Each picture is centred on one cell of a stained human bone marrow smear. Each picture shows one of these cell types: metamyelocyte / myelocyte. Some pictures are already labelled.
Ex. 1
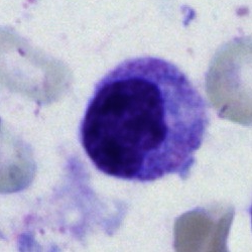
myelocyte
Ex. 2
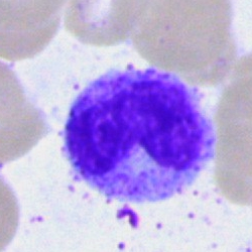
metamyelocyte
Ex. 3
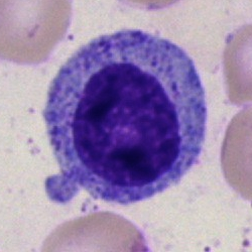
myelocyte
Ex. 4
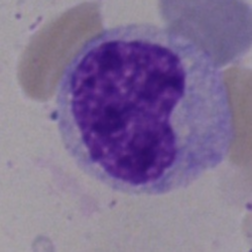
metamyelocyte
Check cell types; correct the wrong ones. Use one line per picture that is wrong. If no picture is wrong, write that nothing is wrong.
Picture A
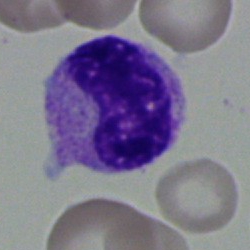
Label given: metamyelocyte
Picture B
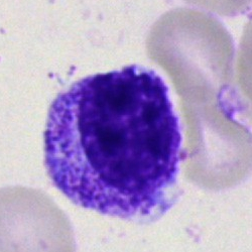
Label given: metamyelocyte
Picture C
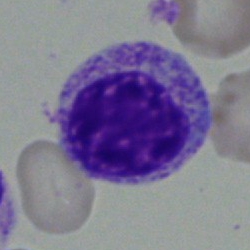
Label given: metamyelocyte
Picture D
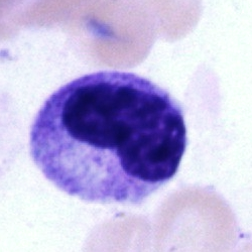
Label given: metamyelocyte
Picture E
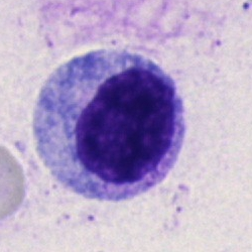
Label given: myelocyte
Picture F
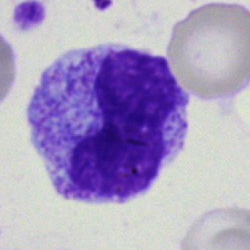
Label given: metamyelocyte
B: myelocyte, not metamyelocyte
C: myelocyte, not metamyelocyte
